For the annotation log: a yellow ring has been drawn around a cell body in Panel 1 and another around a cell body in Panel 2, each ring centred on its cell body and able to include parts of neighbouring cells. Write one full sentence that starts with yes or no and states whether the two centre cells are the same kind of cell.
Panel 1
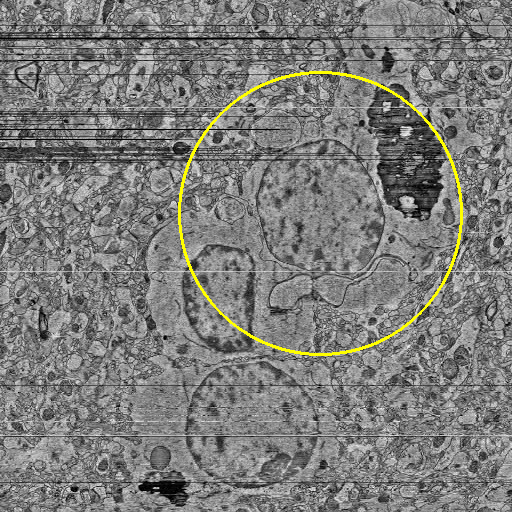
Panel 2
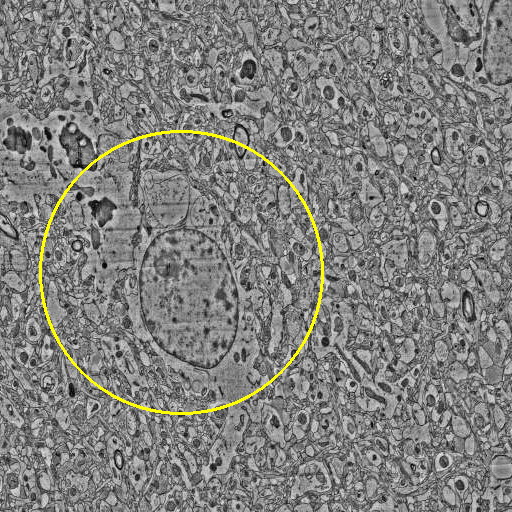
Yes, the two centre cells are the same kind of cell.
